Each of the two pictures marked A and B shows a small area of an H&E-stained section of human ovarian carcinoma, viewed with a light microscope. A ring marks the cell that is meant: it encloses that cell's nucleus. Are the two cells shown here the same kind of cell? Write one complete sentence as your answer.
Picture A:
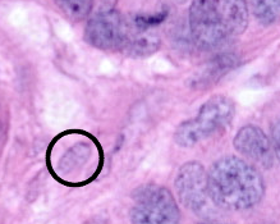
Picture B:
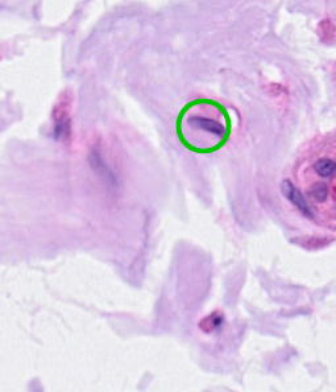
No, the types are not the same, since picture A shows a fibroblast and picture B an endothelial cell.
